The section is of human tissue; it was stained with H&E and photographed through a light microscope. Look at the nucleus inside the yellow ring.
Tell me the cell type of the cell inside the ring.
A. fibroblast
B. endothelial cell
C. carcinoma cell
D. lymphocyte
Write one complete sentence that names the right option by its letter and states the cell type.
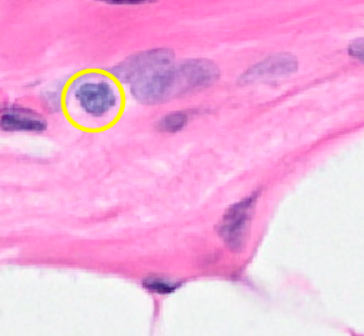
The choice that fits is option D, as the cell inside the ring is a lymphocyte.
